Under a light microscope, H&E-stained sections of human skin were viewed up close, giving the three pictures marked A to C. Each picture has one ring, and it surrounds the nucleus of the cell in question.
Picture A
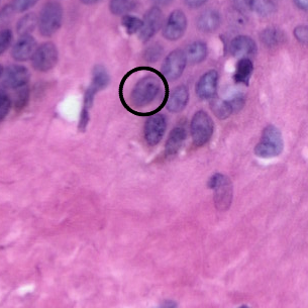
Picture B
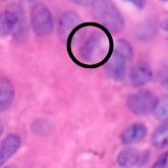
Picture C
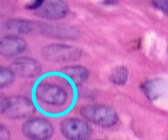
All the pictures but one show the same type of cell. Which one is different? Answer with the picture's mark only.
C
